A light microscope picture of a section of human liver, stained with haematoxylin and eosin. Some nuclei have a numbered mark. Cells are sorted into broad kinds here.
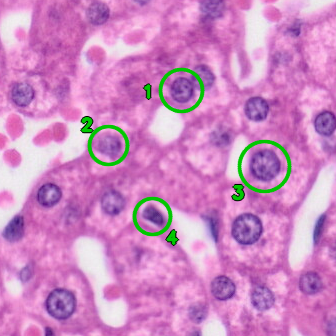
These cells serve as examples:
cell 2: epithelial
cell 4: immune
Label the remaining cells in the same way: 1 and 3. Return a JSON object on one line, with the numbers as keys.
{"1": "epithelial", "3": "epithelial"}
